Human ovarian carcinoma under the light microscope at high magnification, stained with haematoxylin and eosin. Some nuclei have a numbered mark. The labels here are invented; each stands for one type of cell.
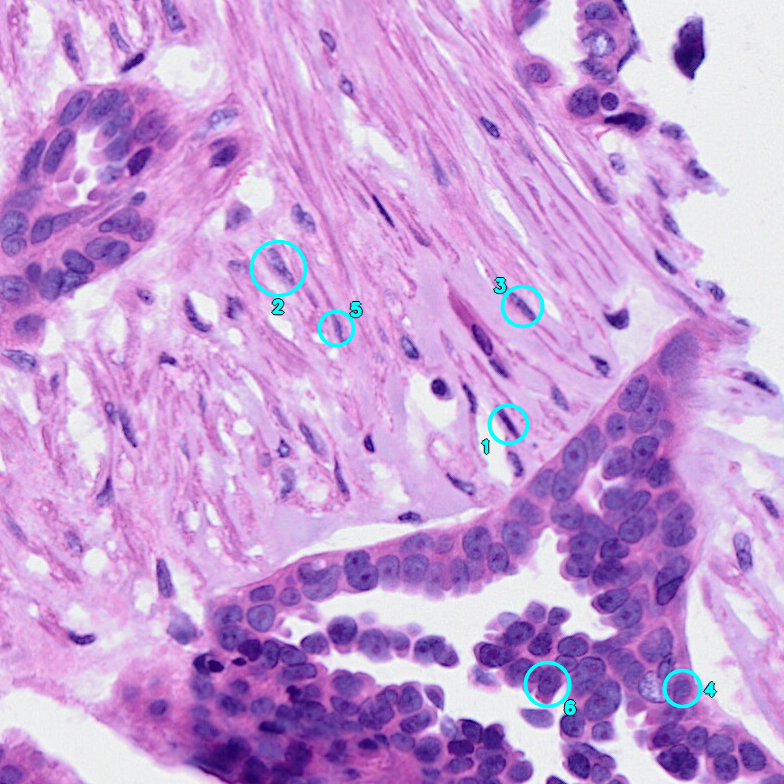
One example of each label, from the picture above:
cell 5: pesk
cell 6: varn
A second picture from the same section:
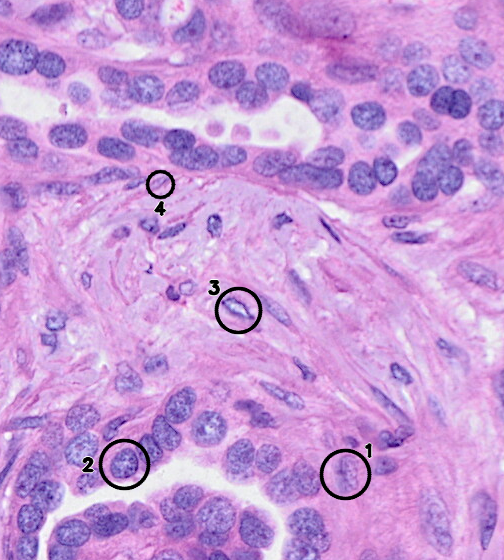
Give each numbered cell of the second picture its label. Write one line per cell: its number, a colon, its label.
1: pesk
2: varn
3: pesk
4: pesk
